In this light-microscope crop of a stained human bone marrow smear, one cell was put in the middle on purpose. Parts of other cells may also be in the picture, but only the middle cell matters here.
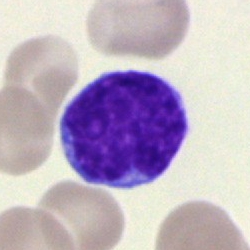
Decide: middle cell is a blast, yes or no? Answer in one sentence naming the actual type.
No, the central cell is classed as a lymphocyte and not as a blast.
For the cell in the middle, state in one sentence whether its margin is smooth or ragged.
Thanks for asking; the cell edge is smooth and has no projections.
